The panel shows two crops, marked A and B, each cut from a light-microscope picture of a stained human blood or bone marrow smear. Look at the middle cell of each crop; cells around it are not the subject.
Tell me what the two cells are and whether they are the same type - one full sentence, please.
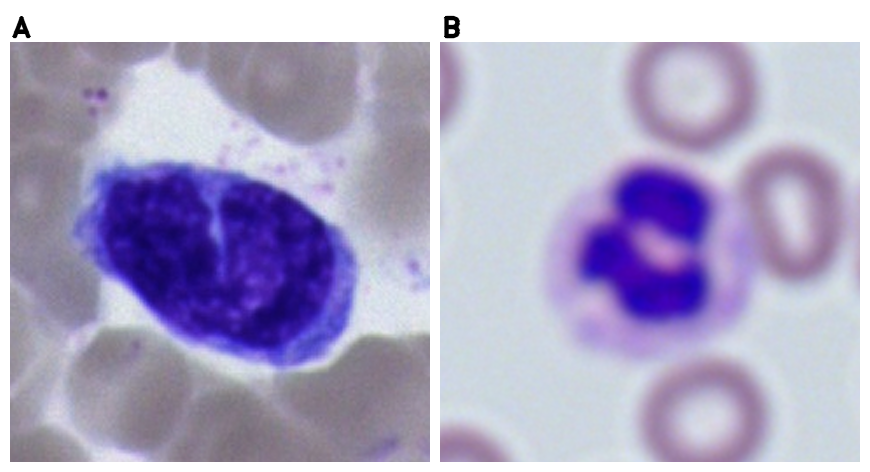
No, crop A depicts a monocyte; crop B depicts a segmented neutrophil.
